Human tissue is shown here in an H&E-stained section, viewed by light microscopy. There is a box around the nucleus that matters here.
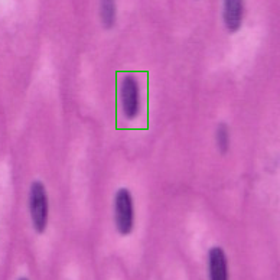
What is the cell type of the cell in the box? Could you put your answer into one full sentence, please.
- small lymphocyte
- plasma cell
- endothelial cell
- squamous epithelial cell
On this particular slide, the cell in the box is a squamous epithelial cell.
